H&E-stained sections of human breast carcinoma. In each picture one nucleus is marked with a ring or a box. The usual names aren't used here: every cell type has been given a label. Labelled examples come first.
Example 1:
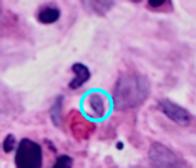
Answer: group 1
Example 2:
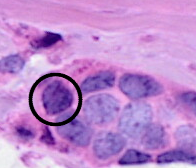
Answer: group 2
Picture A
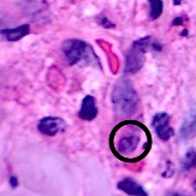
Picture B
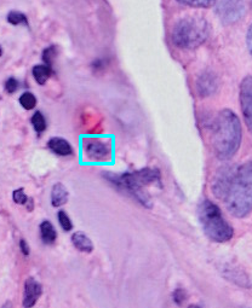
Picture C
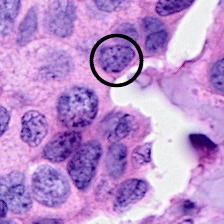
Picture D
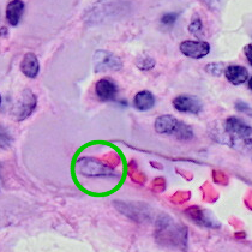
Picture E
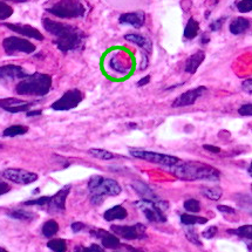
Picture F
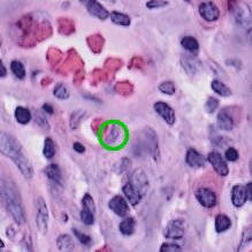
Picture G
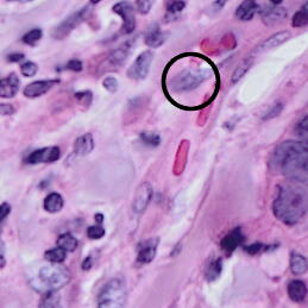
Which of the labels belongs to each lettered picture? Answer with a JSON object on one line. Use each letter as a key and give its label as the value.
{"A": "group 1", "B": "group 1", "C": "group 2", "D": "group 1", "E": "group 1", "F": "group 1", "G": "group 1"}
